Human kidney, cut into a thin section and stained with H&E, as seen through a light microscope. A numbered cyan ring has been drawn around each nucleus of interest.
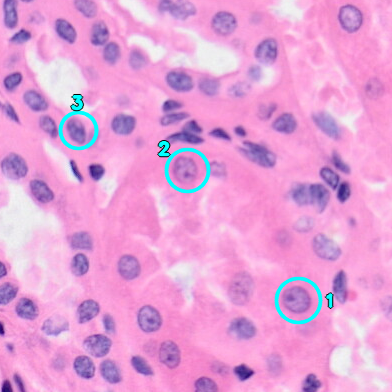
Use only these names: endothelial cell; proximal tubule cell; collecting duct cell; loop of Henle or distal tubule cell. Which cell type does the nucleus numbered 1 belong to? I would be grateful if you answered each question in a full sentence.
Cell 1 in the field is a proximal tubule cell.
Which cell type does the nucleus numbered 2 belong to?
The one numbered 2 among the marked cells is a proximal tubule cell.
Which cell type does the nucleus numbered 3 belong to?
The cell carrying label 3 is identified as a collecting duct cell.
